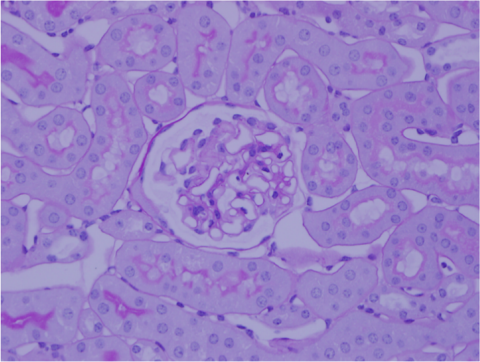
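This is kidney cortex stained with PAS, centred on a glomerulus surrounded by tubules. The glomerular tuft shows open capillary loops outlined by thin pink walls, with scattered small dark nuclei and little magenta material between them. A clear space separates the tuft from the thin outer capsule. Around it, tubules cut in cross and oblique section are lined by cuboidal cells with round, pale nuclei and pale pink cytoplasm, some with a magenta luminal border. The tubules lie close together with only narrow interstitial spaces between them.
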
